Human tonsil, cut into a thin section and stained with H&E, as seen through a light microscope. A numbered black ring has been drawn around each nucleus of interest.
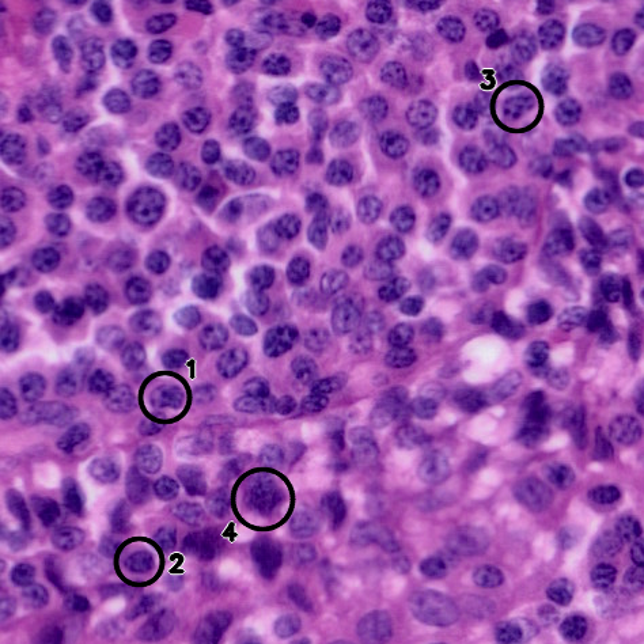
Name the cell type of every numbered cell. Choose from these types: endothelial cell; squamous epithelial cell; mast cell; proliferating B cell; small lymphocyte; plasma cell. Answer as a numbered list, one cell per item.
1. plasma cell
2. plasma cell
3. plasma cell
4. squamous epithelial cell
